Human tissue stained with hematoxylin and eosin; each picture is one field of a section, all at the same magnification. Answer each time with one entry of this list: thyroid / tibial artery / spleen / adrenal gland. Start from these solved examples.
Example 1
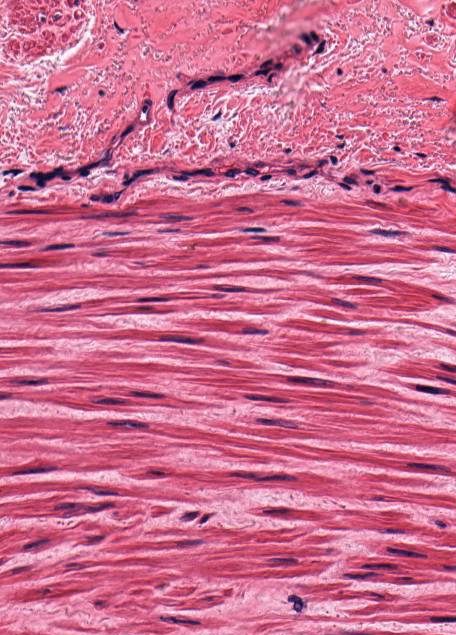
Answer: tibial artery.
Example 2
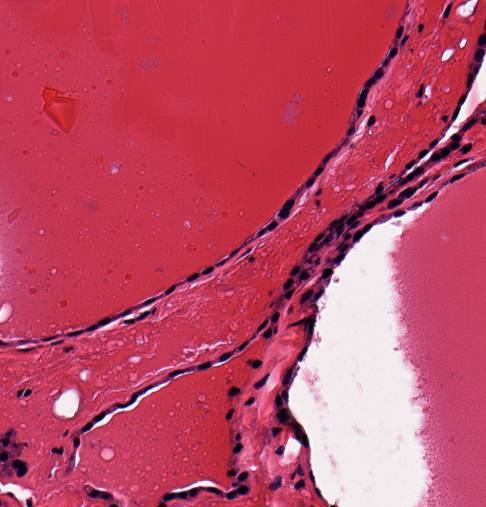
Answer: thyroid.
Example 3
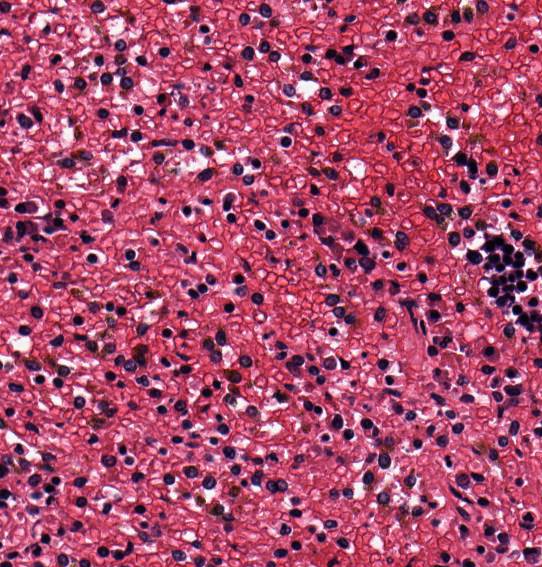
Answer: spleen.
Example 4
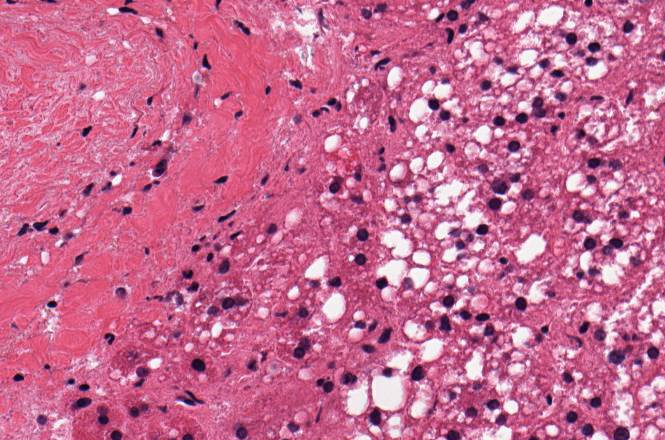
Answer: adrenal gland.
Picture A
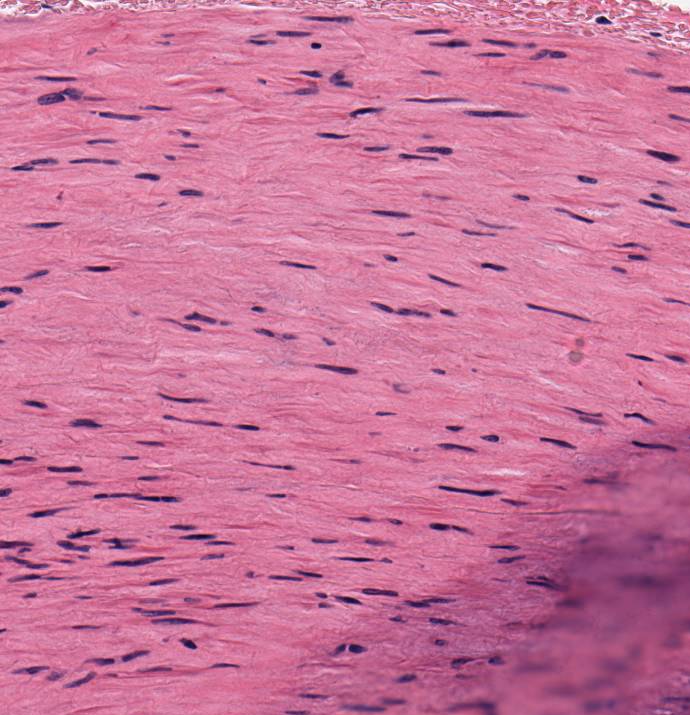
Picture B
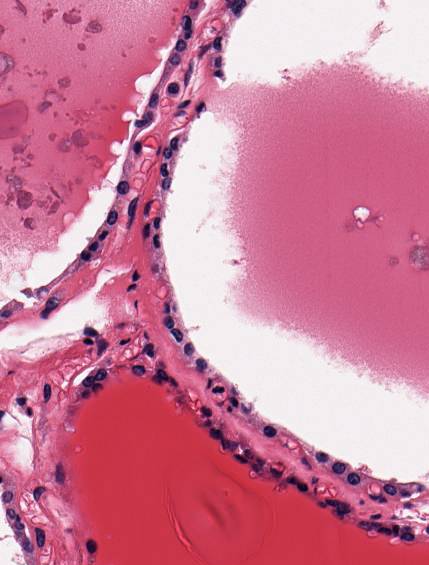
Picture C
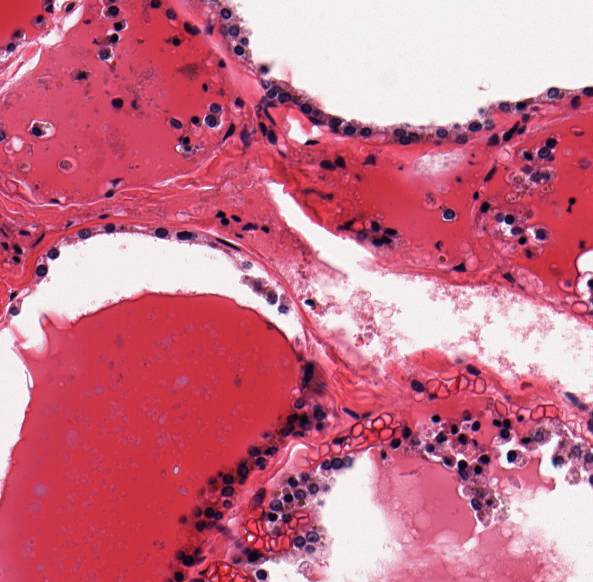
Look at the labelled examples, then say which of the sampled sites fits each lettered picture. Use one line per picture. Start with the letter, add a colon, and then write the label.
A: tibial artery.
B: thyroid.
C: thyroid.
